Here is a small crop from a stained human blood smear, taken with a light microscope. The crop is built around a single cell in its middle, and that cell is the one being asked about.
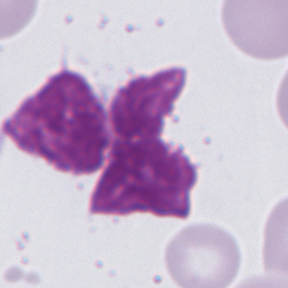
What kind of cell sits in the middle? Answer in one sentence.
Of the cells in this crop, the central one is a smudge cell.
